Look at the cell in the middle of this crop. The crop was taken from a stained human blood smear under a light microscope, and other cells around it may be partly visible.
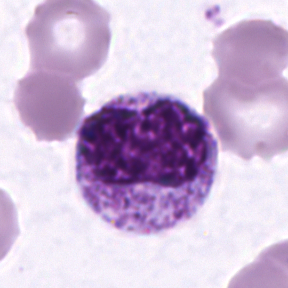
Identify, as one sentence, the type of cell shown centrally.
The crop's centre is taken up by a metamyelocyte.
